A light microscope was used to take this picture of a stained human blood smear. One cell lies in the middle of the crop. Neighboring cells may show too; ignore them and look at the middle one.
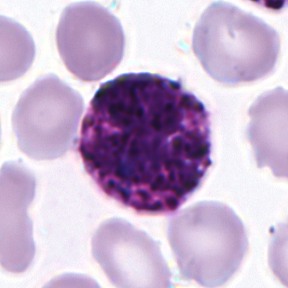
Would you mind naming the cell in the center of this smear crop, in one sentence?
In the middle of this smear crop, the cell is a basophil.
